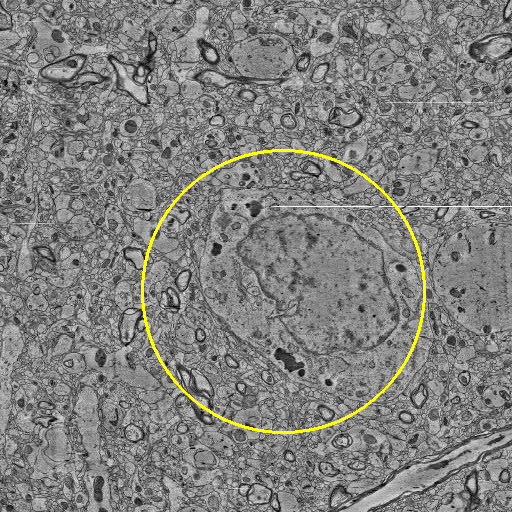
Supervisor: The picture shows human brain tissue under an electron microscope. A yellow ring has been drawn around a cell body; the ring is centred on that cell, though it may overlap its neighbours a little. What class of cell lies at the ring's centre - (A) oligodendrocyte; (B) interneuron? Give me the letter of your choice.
B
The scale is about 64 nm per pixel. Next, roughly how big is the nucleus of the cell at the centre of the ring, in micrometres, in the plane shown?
The nucleus has a long axis of about 11 micrometres and a short axis of about 8 micrometres in this plane.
